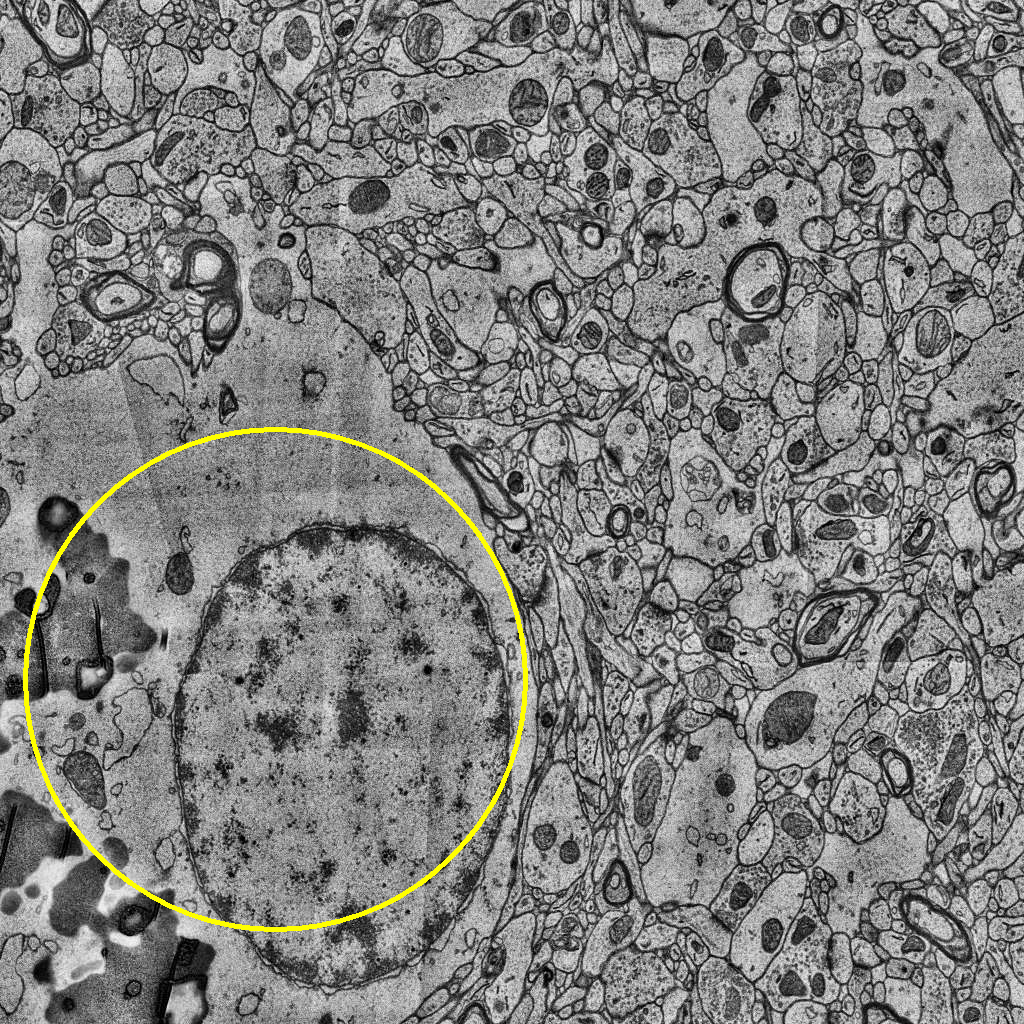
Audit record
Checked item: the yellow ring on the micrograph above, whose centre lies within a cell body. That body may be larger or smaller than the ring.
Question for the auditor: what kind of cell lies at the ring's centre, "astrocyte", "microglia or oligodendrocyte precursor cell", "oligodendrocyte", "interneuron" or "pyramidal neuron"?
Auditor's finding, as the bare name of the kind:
astrocyte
